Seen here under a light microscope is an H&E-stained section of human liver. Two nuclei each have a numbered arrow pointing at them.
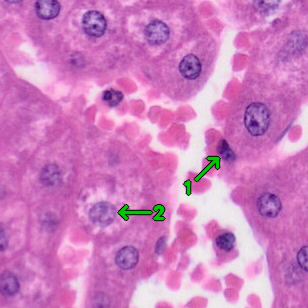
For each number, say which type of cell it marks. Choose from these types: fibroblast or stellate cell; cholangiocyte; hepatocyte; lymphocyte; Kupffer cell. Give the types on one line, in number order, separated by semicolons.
fibroblast or stellate cell; hepatocyte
